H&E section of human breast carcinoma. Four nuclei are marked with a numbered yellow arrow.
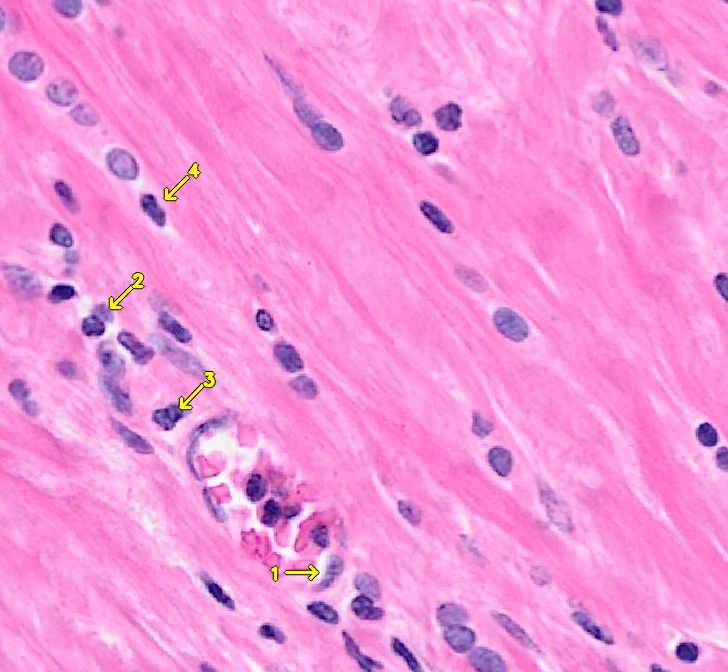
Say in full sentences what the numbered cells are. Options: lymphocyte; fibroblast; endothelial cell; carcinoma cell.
Cell 1 is an endothelial cell. Cells 2, 3 and 4 are lymphocytes.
